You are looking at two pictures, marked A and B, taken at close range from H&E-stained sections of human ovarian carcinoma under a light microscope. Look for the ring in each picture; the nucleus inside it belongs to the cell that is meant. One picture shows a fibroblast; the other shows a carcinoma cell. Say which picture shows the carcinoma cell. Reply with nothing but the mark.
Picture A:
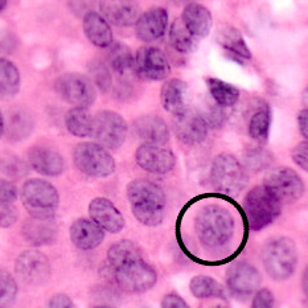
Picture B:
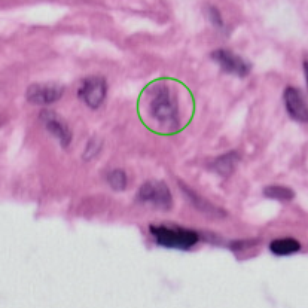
A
